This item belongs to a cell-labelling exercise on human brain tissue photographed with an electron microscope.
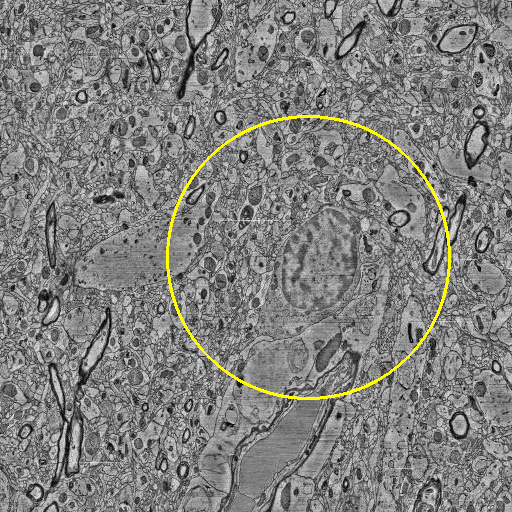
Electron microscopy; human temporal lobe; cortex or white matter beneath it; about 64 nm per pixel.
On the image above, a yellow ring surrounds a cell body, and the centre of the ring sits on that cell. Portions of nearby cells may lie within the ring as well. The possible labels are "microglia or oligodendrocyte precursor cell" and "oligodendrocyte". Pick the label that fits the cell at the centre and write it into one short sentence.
This cell should be labelled as an oligodendrocyte.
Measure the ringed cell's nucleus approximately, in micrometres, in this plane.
About 6 by 5 micrometres in this plane.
